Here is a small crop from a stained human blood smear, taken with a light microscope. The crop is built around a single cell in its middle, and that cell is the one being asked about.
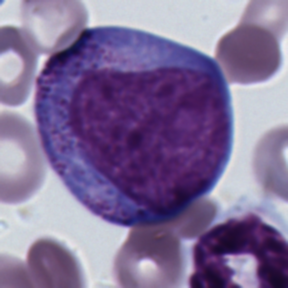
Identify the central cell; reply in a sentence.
At the center of the crop sits a promyelocyte.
